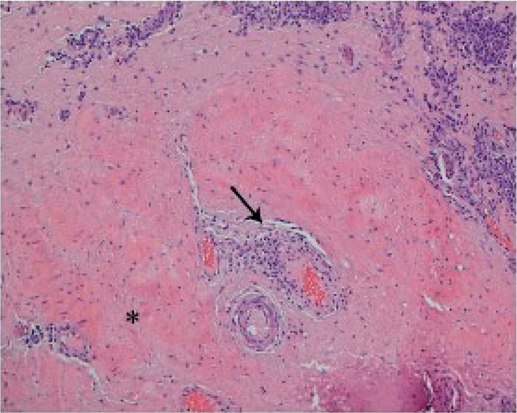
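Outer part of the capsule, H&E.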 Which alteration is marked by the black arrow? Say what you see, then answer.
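The arrow points to a cluster of small round dark nuclei. The cluster surrounds small blood vessels.
Chronic perivascular inflammation.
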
